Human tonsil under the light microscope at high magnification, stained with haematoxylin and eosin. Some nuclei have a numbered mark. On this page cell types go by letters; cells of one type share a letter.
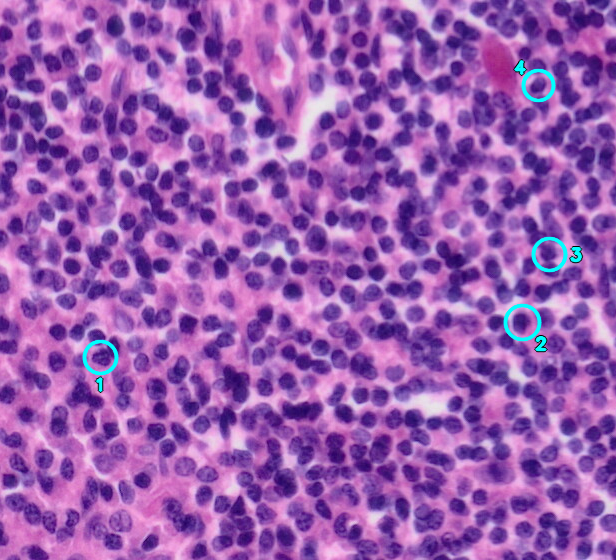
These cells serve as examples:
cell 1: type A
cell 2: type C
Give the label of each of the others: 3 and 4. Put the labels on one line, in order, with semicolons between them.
type C; type C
